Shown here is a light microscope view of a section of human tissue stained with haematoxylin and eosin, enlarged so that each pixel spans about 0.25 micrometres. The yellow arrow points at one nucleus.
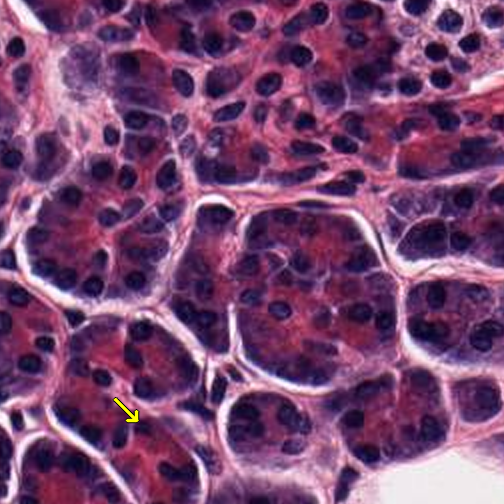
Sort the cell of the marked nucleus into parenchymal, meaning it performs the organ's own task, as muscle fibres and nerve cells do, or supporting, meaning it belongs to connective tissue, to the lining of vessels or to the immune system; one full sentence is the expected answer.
This marked nucleus is part of a parenchymal cell, namely a pancreatic acinar cell.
